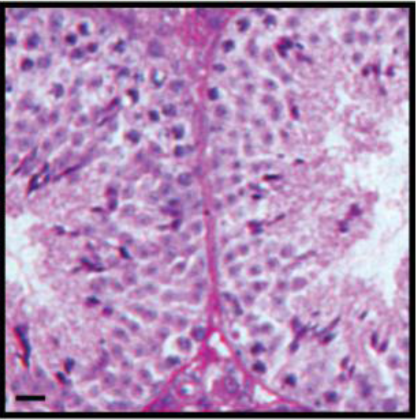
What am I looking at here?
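This is an enlarged view of testis tissue where two neighbouring tubules meet along a thin pink-stained boundary running vertically through the middle. On either side, the epithelium is packed with many round cells with purple nuclei arranged in several layers. Toward the pale lumens at the left and right edges, dark, elongated, slender nuclei lie in clusters oriented toward the lumen. The cytoplasm throughout is pale pink to lilac, and the cells are tightly packed with no large gaps. At the bottom the boundary widens into a small triangular interstitial space.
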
